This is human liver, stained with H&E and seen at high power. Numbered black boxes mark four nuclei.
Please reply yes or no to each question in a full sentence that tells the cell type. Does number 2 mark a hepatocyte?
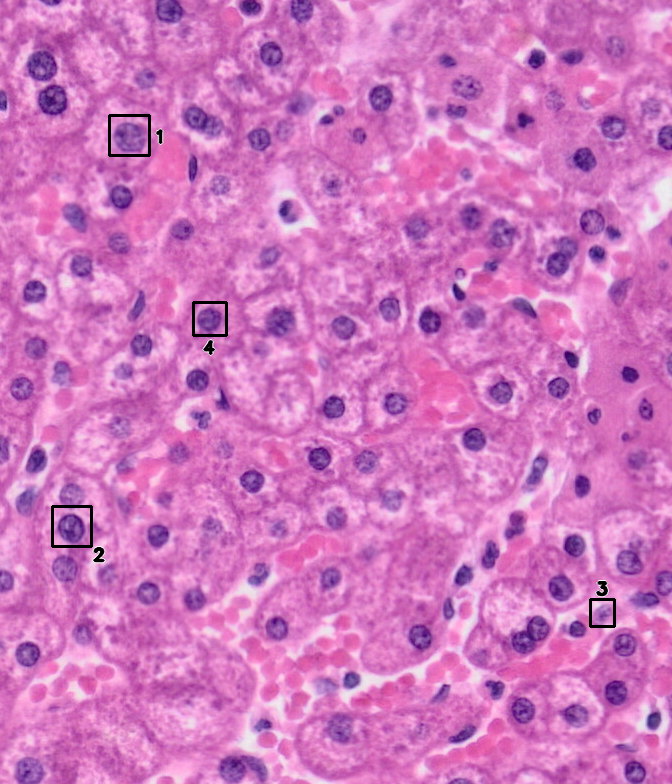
Yes, the cell pointed out as number 2 is a hepatocyte.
